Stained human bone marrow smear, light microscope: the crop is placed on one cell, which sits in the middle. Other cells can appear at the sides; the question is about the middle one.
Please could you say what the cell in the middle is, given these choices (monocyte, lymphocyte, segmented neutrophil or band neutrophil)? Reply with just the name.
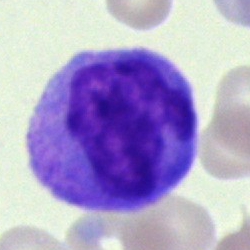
monocyte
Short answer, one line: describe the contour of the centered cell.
Its surface contour is regular and smooth, without any protrusions.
